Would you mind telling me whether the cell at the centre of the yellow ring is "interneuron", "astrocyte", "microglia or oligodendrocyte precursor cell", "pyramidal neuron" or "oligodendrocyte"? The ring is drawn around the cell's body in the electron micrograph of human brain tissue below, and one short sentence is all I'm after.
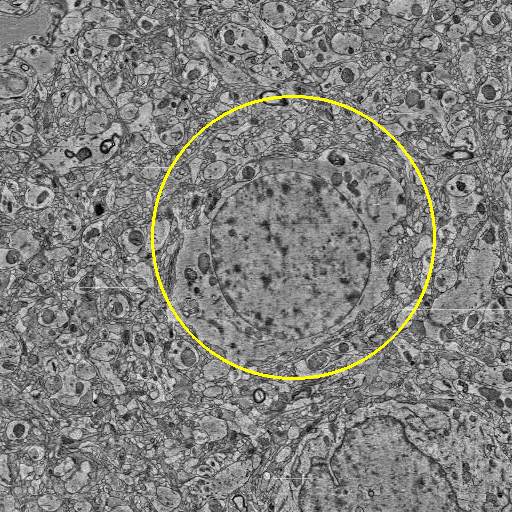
In the centre of the ring lies an astrocyte.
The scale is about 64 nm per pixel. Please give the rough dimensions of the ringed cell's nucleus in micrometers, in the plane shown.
The nucleus is approximately 10 micrometers across in this plane.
